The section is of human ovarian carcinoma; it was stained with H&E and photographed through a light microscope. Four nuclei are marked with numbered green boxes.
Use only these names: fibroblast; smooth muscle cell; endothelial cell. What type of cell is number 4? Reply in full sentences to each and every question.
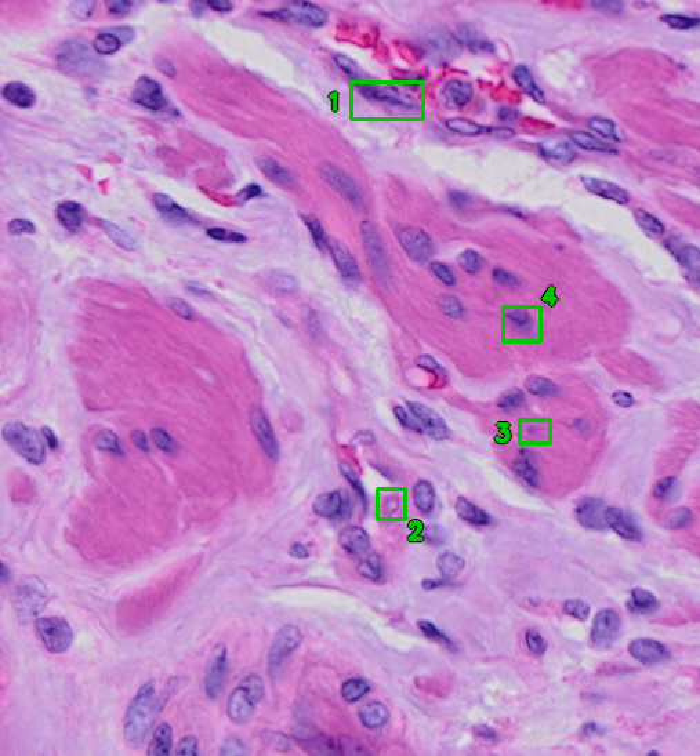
The correct answer for cell 4 is a smooth muscle cell.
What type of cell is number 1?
Looking at the numbered marks, cell 1 is an endothelial cell.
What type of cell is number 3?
What the number 3 marks in this field is a smooth muscle cell.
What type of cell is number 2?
The nucleus labeled 2 belongs to an endothelial cell.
